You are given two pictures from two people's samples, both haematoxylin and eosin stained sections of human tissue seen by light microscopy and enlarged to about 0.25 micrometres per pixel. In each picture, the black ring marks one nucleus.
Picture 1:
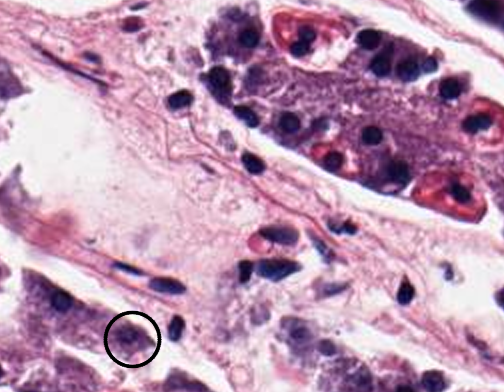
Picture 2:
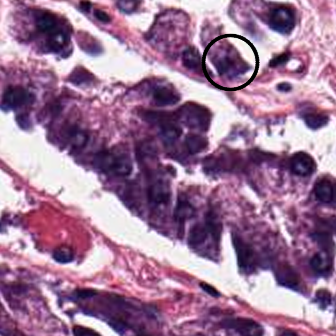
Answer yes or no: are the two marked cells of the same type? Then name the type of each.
Yes, both are chief cells.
